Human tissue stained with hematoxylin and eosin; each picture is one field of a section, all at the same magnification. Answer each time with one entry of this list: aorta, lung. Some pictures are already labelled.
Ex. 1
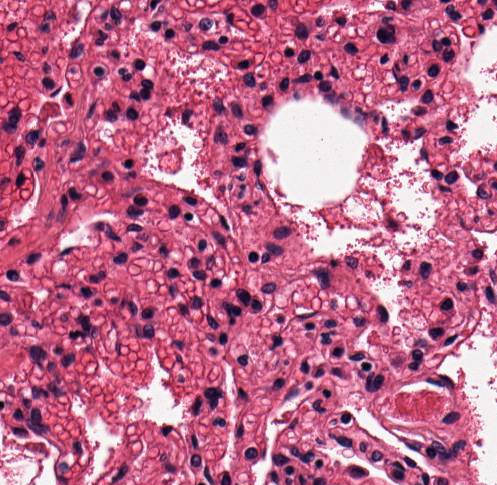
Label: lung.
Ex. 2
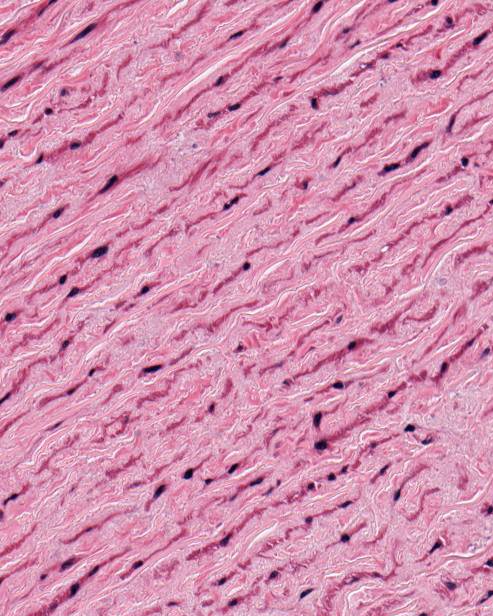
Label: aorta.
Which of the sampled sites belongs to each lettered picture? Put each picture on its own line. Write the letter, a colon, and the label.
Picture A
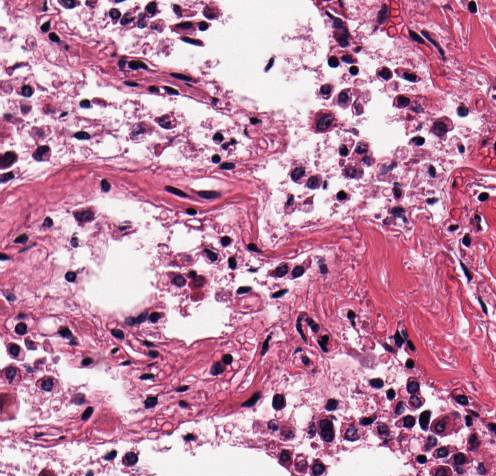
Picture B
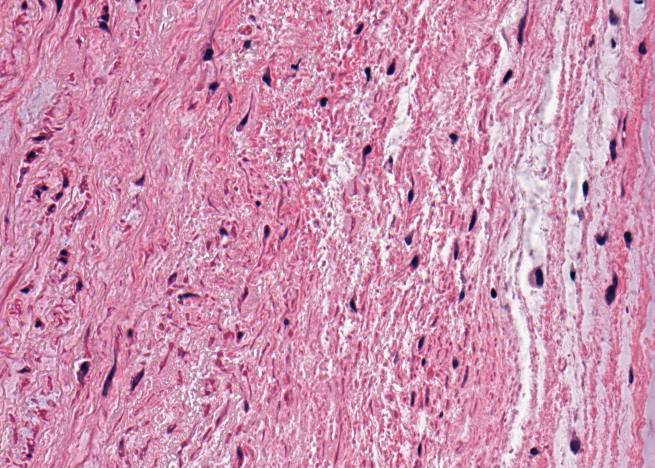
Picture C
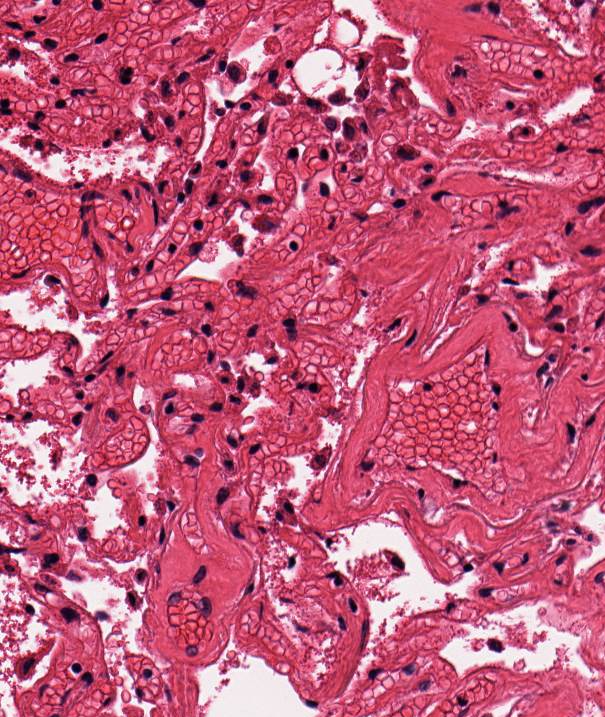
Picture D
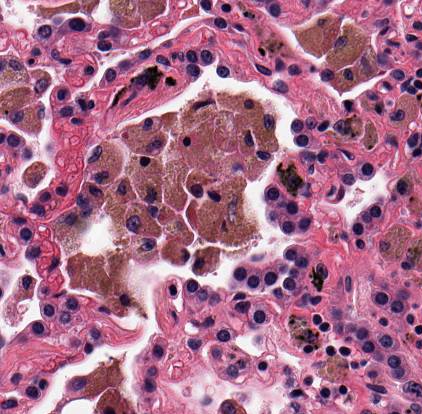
A: lung.
B: aorta.
C: lung.
D: lung.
